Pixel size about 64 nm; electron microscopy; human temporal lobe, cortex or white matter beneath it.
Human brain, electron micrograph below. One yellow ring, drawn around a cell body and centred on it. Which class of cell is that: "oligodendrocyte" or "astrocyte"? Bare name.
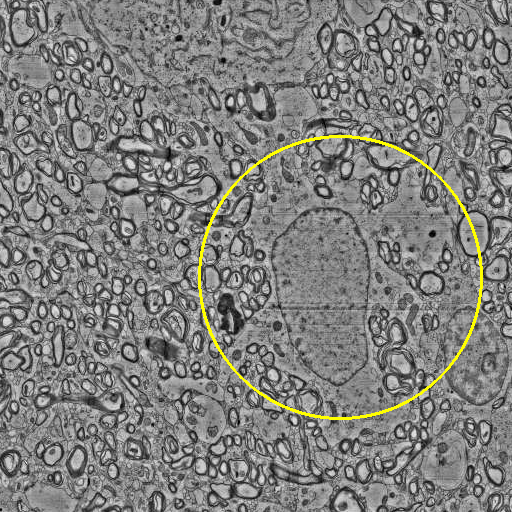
astrocyte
